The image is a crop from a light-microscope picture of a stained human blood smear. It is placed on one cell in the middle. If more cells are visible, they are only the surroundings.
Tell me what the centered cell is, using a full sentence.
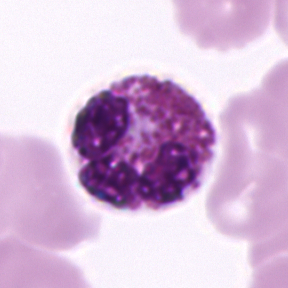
The cell that lies at the centre of the crop is an eosinophil.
